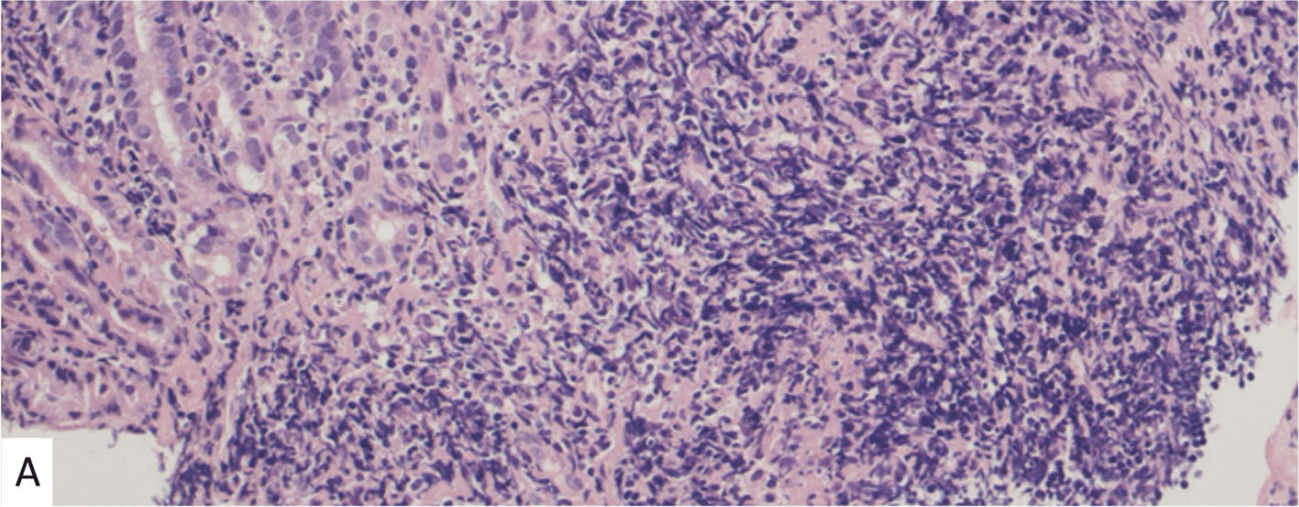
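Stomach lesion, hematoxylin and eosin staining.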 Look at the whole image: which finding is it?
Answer: Lymphocytic infiltration.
